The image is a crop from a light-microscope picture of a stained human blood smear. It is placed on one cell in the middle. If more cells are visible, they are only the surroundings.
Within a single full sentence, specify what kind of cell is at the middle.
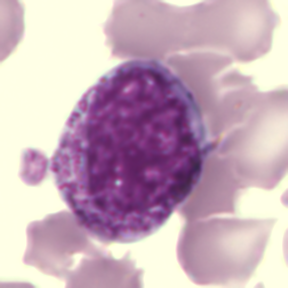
Classified as a myelocyte is the cell in the middle of this crop.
